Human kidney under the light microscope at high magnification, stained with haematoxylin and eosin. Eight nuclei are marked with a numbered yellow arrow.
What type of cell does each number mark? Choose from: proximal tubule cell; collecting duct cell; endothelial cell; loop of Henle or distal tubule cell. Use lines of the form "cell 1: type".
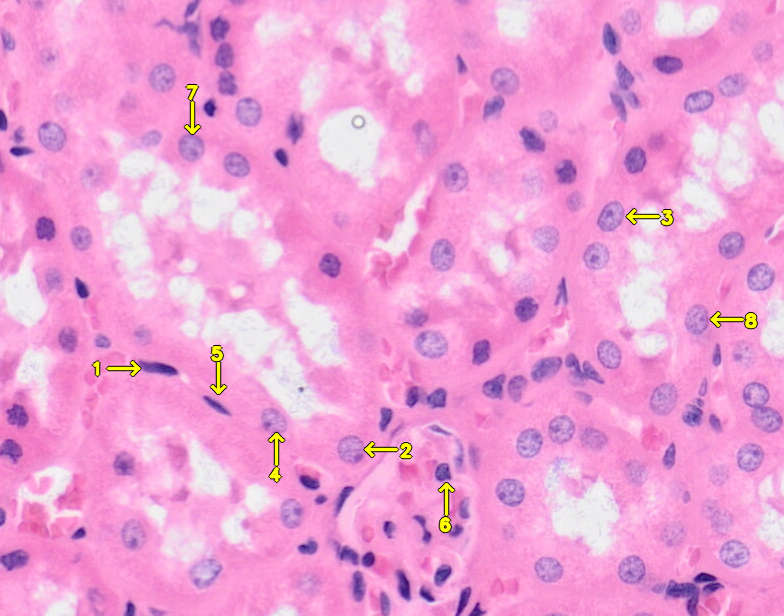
cell 1: endothelial cell
cell 2: proximal tubule cell
cell 3: proximal tubule cell
cell 4: proximal tubule cell
cell 5: endothelial cell
cell 6: endothelial cell
cell 7: proximal tubule cell
cell 8: proximal tubule cell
